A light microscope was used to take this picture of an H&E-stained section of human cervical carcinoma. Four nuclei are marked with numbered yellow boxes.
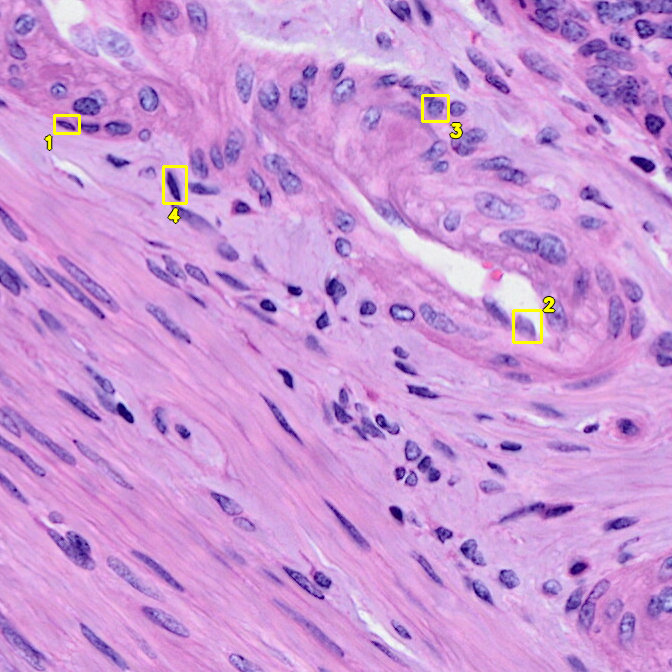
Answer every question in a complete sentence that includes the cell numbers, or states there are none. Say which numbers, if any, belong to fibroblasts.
Cell 4 is a fibroblast, while all remaining marked cells are of other types.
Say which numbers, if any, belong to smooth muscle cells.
Cells 1 and 3 are recognised here as smooth muscle cells.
